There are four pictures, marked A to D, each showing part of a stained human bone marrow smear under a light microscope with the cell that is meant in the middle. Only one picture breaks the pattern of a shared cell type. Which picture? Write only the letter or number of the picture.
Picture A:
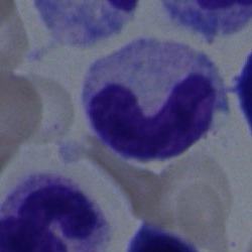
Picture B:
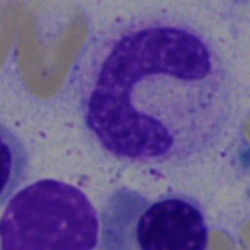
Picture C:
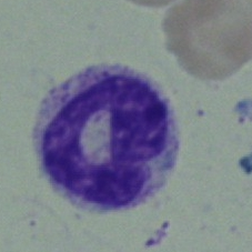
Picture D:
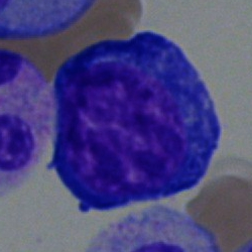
D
